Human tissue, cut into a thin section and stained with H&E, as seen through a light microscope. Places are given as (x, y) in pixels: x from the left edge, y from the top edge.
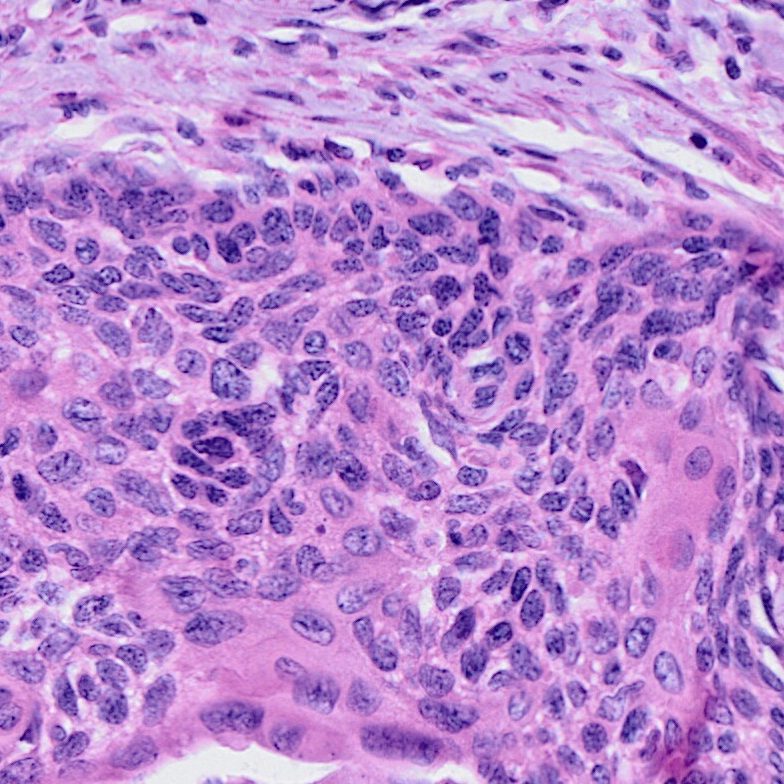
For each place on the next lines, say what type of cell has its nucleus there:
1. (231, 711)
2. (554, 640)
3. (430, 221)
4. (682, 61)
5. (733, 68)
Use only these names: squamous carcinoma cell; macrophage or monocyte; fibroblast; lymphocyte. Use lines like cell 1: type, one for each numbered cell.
cell 1: squamous carcinoma cell
cell 2: squamous carcinoma cell
cell 3: squamous carcinoma cell
cell 4: macrophage or monocyte
cell 5: lymphocyte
